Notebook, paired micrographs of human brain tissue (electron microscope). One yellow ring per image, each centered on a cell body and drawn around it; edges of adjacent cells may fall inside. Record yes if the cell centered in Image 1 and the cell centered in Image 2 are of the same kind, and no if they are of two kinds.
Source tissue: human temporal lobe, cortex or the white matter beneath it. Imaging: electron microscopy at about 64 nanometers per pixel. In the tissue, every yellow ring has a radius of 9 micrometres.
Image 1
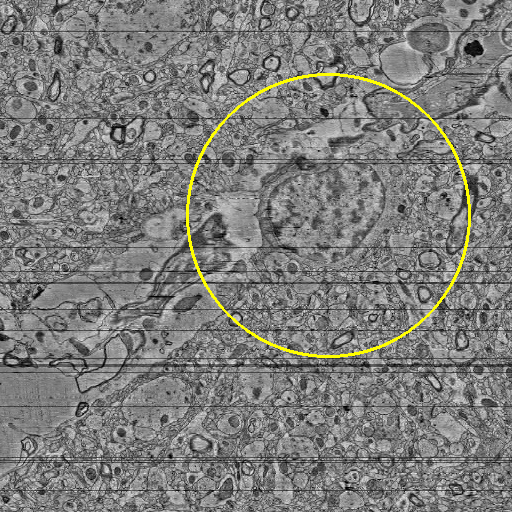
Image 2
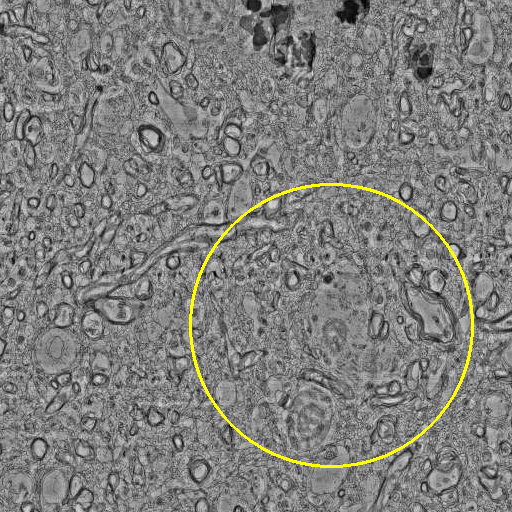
no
